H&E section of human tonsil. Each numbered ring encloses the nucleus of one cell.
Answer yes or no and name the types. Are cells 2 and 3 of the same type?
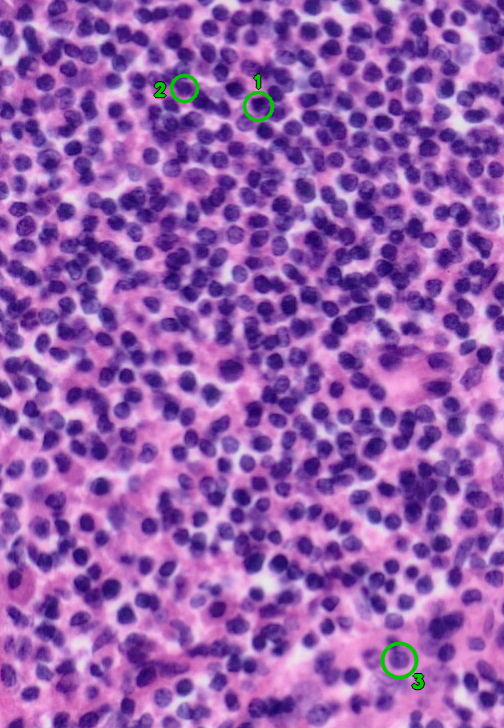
No, cell 2 is a small lymphocyte; cell 3 is an endothelial cell.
